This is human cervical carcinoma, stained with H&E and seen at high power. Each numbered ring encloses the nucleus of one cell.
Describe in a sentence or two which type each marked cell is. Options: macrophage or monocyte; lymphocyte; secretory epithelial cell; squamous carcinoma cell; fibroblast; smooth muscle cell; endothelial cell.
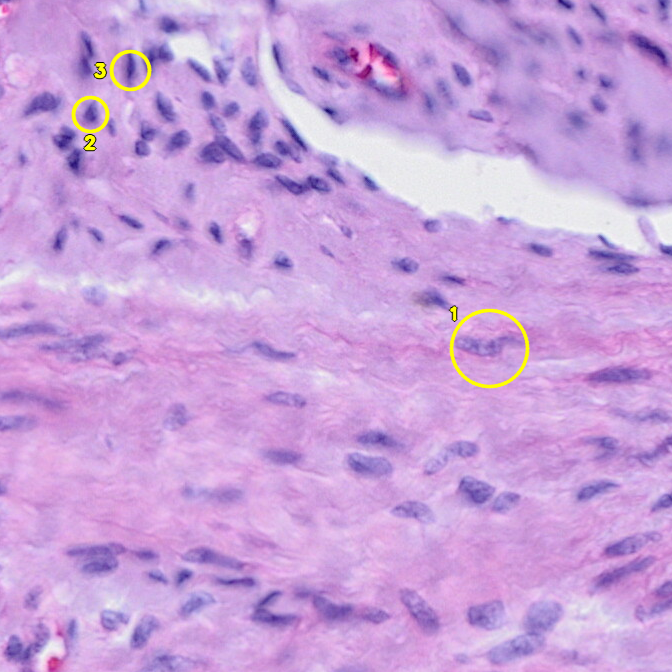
Cell 1 is a smooth muscle cell. Cells 2 and 3 are fibroblasts.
